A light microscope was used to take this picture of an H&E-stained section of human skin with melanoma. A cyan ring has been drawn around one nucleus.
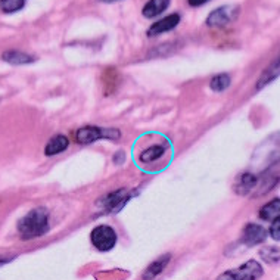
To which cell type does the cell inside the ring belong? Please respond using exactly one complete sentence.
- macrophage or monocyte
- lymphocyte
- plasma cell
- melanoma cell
By its classification, the cell inside the ring is a macrophage or monocyte.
